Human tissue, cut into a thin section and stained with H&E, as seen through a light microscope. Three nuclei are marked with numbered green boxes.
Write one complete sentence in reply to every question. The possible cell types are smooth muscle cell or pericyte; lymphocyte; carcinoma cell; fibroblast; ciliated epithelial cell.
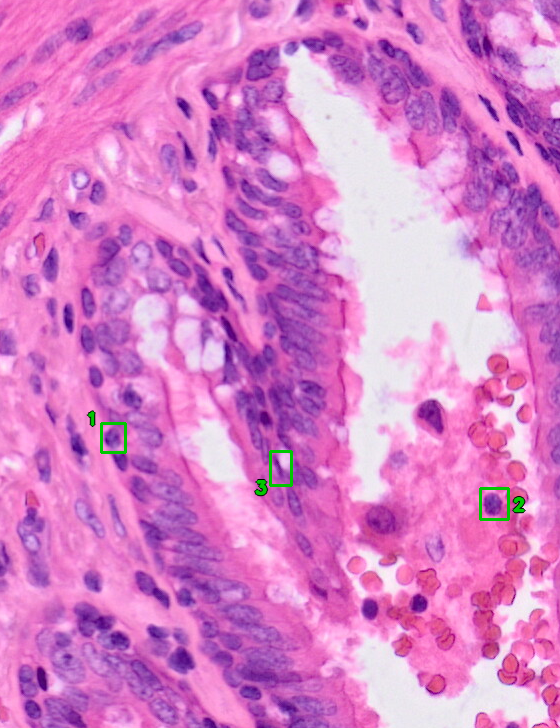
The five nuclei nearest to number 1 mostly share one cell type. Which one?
Of the five nuclei nearest to number 1, most belong to ciliated epithelial cells.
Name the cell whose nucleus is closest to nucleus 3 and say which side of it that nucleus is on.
The nearest one is a ciliated epithelial cell, found to the right of nucleus 3.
